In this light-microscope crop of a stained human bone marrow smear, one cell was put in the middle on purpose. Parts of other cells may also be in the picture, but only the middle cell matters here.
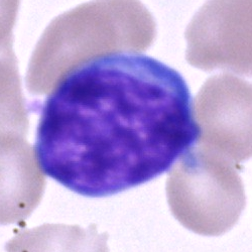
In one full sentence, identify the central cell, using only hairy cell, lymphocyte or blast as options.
Occupying the centre of the crop is a blast.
